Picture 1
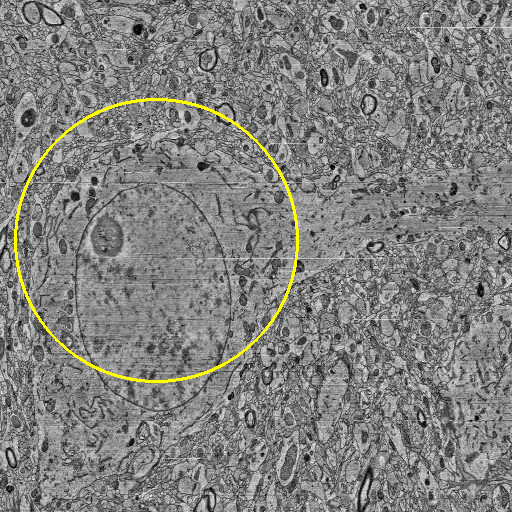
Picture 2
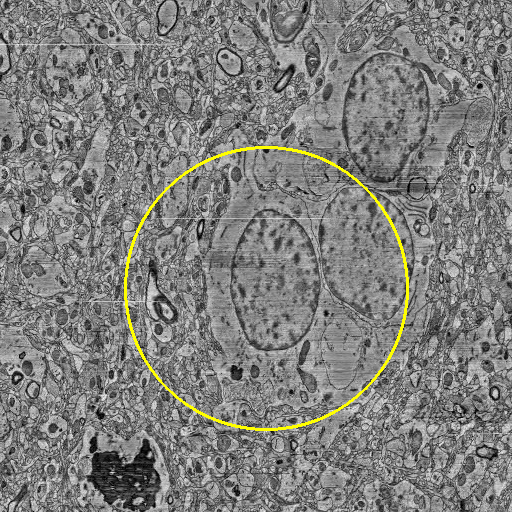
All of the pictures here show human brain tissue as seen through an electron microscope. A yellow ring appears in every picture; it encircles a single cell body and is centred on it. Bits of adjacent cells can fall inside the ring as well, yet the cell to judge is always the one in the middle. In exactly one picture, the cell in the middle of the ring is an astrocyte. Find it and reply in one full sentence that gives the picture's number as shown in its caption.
Of all the pictures, picture 2 has the right cell at the centre of its ring.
